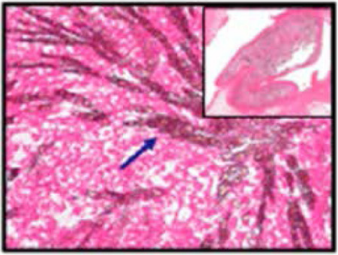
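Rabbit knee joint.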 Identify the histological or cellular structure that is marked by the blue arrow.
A: crystal aggregates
